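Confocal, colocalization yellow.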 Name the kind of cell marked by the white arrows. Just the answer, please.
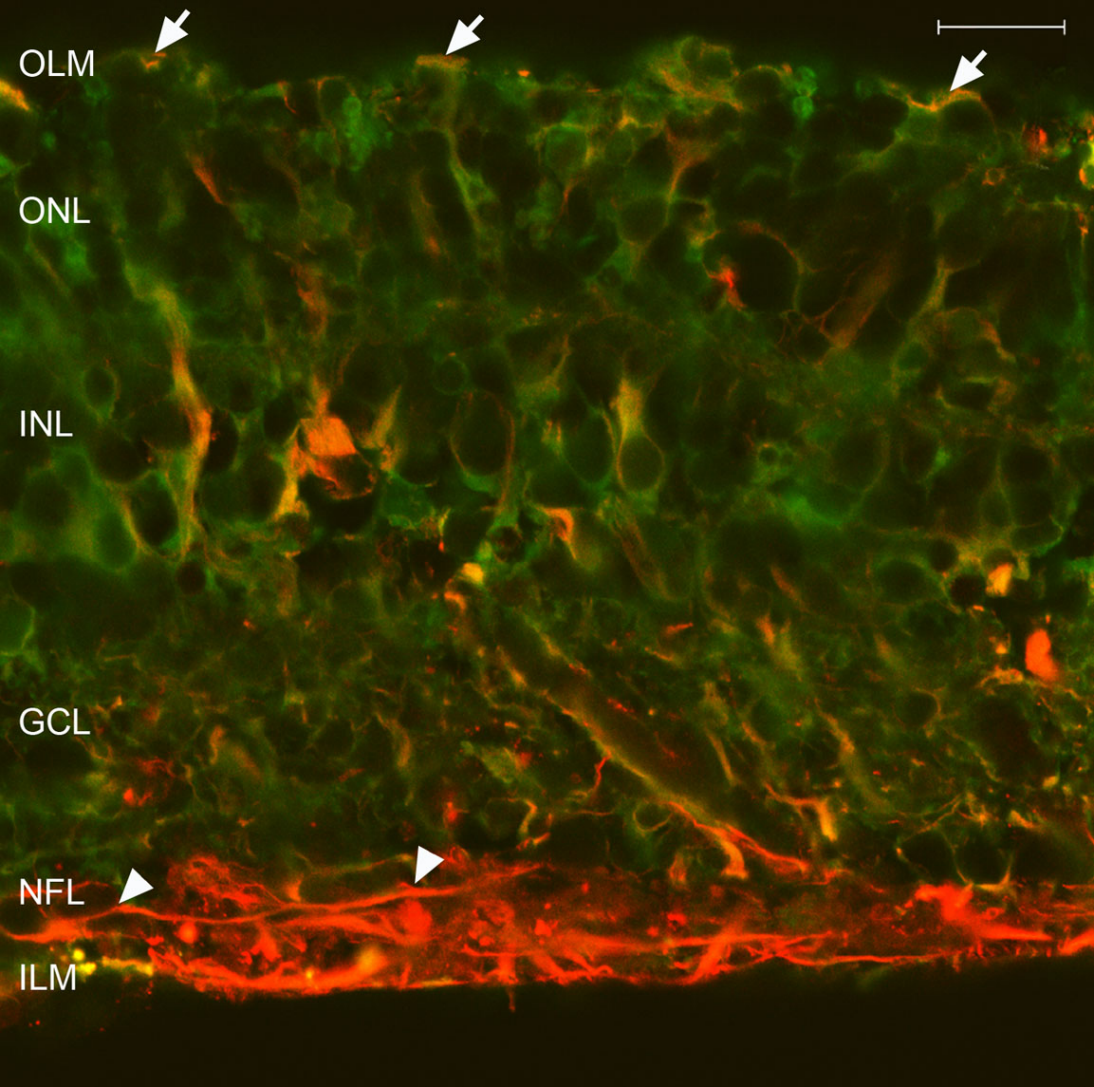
Müller cells.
